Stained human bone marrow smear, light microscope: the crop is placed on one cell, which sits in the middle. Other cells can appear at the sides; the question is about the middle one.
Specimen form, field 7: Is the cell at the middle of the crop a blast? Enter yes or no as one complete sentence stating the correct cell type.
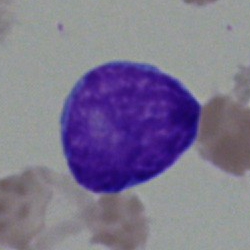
Yes, the cell in the middle is a blast.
